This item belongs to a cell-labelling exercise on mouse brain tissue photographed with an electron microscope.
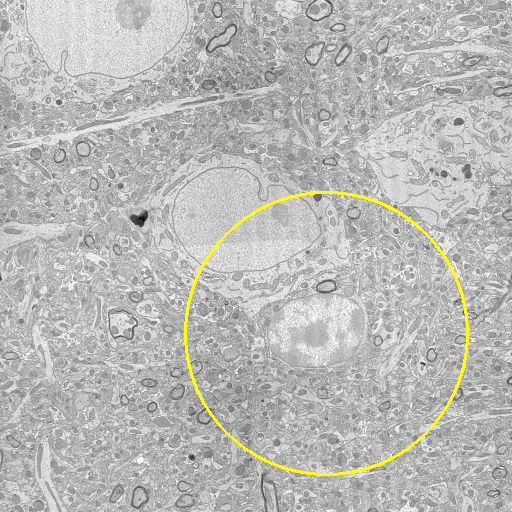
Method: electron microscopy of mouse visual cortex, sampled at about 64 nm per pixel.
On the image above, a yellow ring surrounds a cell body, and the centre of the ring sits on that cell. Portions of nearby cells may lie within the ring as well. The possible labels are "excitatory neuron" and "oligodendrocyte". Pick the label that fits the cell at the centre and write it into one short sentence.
This cell should be labelled as an oligodendrocyte.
